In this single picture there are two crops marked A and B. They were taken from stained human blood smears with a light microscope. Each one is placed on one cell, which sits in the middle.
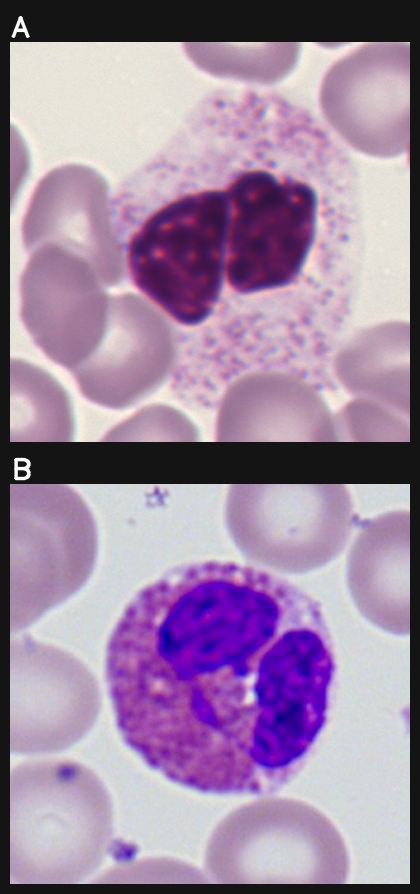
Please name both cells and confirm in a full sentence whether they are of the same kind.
No, cell A is a segmented neutrophil, and cell B is an eosinophil.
